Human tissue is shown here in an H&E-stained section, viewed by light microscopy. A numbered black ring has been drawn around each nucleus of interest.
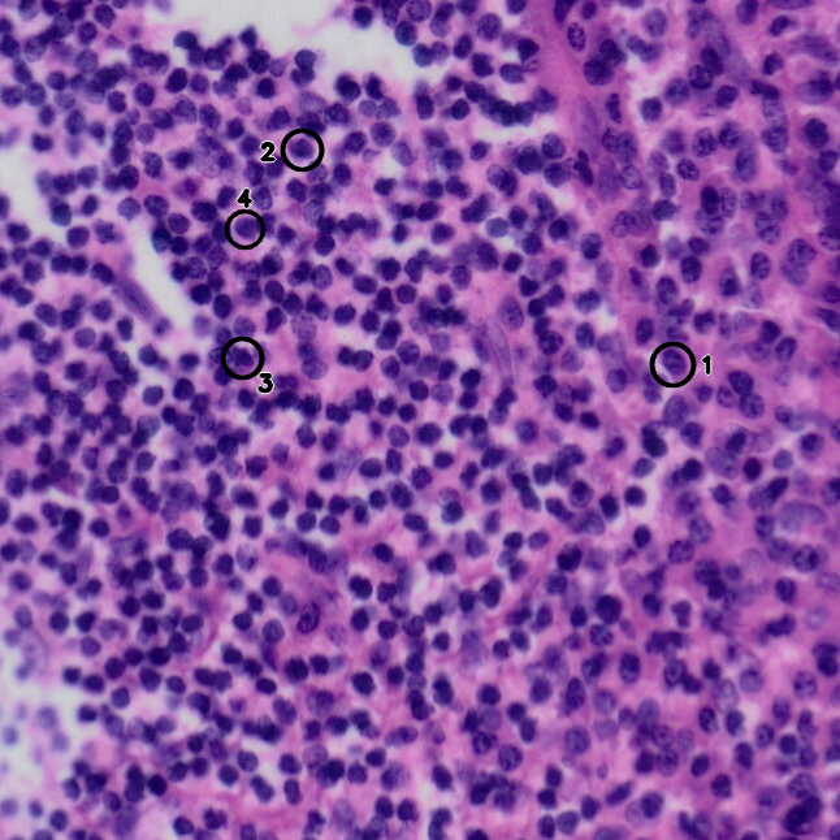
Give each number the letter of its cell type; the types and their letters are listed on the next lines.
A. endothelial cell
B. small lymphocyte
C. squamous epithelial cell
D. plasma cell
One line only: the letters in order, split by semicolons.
D; B; B; B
